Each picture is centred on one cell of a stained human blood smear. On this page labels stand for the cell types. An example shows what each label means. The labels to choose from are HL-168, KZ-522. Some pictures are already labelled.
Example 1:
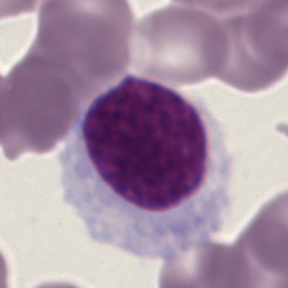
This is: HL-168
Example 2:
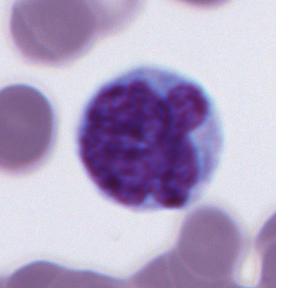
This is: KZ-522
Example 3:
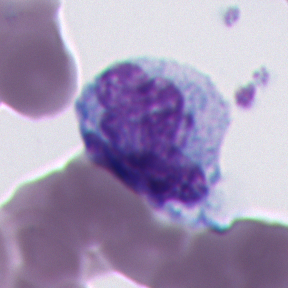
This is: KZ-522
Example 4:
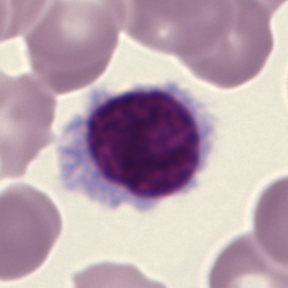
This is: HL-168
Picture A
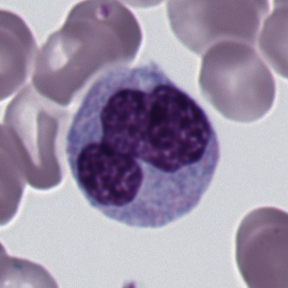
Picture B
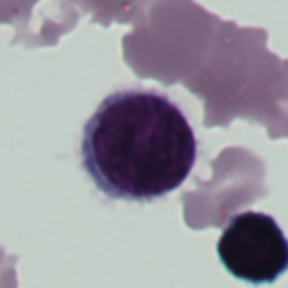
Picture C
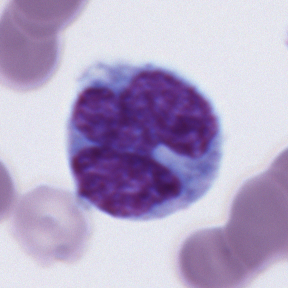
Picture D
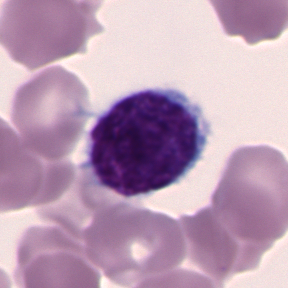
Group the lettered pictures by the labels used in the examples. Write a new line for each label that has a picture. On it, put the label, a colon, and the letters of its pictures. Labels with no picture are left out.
HL-168: B, D
KZ-522: A, C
